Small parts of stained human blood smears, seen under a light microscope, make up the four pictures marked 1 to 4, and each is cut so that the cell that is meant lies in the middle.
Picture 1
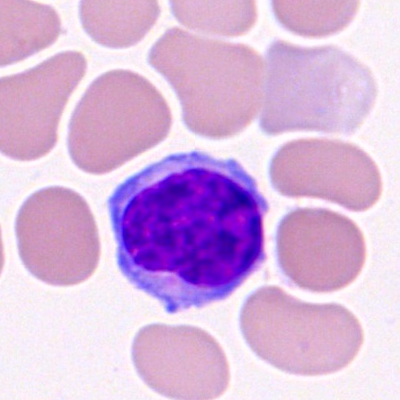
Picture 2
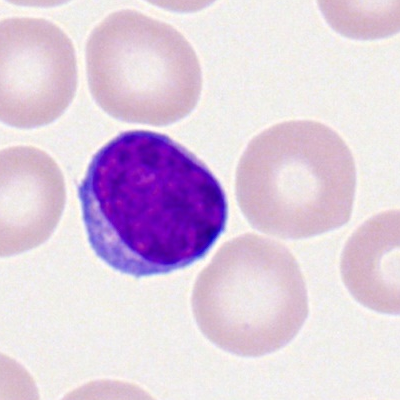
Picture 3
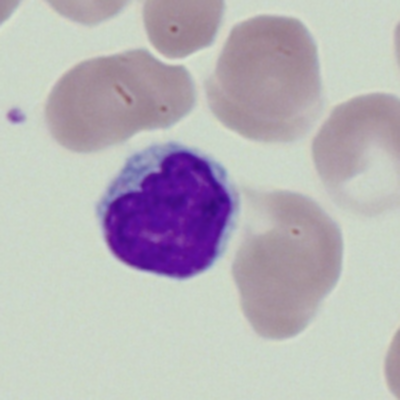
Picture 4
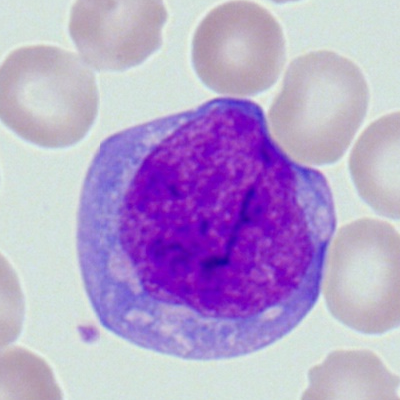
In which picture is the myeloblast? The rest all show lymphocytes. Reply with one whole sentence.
The picture with the myeloblast is 4.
